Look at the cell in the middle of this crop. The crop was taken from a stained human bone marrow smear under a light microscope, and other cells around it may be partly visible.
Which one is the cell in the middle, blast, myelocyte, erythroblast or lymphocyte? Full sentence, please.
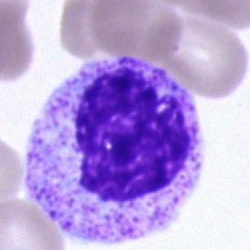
Here the cell in the middle is a myelocyte.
